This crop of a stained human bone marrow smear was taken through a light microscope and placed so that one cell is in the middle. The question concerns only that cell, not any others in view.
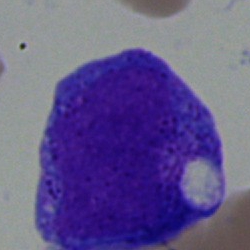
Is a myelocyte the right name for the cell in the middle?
no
